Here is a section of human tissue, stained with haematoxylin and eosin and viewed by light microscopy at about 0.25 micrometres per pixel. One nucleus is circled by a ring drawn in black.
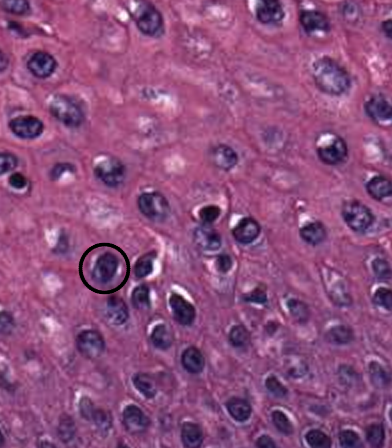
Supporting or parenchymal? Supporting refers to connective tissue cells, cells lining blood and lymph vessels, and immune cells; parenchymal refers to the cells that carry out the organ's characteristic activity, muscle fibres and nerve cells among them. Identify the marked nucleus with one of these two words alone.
parenchymal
